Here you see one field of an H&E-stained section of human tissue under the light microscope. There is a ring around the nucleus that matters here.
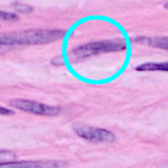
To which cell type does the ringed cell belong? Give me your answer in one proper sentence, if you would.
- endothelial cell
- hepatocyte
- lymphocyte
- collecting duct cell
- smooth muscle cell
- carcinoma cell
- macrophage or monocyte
Within this tissue, the ringed cell is a smooth muscle cell.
